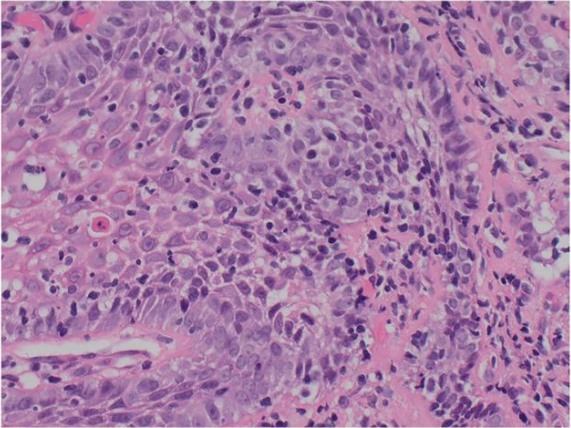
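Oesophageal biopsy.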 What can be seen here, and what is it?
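The epithelial cells are polygonal with pink cytoplasm, rather large oval nuclei and clear borders, while small, dark, round inflammatory cells crowd among the lower epithelial cells. At one side a small round, bright pink body with a dense rim lies among the epithelial cells, and strands of pink stroma run through the field.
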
